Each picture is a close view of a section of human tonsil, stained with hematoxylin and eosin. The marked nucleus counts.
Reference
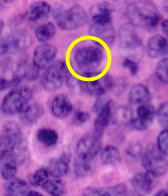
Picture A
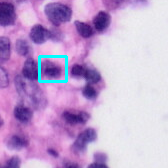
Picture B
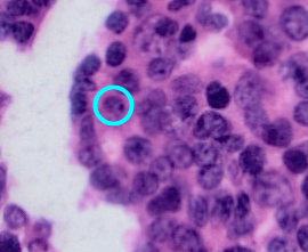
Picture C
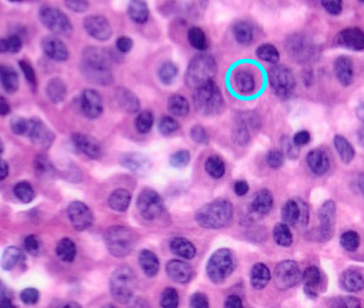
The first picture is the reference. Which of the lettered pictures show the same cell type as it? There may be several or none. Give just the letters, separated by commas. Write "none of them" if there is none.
A, B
